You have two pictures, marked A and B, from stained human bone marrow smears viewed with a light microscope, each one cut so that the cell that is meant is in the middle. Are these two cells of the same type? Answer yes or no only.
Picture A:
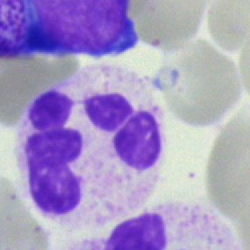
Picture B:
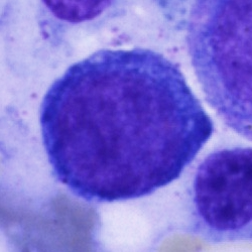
no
